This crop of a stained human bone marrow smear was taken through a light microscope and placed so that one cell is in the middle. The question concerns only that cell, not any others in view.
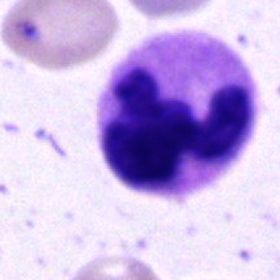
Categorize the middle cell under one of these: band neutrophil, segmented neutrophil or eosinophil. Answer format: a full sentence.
The crop's centre is taken up by a segmented neutrophil.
